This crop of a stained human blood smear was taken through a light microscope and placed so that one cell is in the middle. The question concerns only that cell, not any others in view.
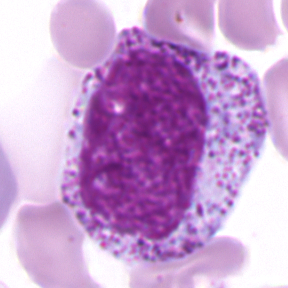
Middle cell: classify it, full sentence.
By type, the central cell of the crop is a myelocyte.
